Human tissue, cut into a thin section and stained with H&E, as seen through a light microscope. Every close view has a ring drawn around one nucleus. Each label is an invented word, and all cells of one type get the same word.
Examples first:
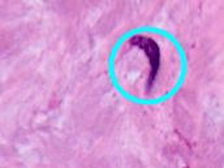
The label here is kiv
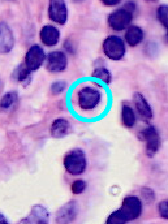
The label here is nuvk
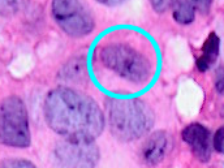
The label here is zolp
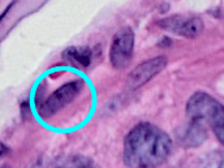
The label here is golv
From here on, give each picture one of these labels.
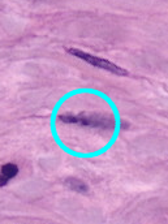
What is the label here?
kiv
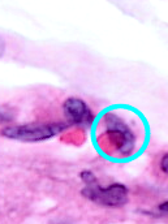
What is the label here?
golv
